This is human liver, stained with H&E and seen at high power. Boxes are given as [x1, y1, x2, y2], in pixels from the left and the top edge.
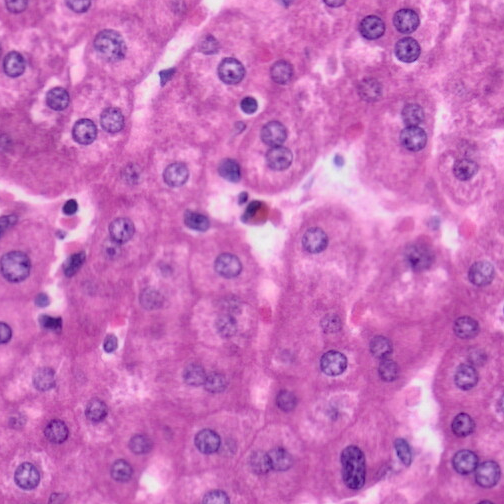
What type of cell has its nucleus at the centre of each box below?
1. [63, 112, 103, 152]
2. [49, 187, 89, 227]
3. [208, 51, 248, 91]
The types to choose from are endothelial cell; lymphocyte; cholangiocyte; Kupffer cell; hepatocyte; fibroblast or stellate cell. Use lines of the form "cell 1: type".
cell 1: hepatocyte
cell 2: lymphocyte
cell 3: hepatocyte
